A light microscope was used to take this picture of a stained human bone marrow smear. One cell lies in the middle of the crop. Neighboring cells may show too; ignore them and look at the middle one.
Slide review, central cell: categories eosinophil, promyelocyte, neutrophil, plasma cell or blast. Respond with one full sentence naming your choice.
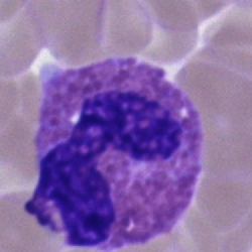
The centrally positioned cell in the crop represents an eosinophil.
